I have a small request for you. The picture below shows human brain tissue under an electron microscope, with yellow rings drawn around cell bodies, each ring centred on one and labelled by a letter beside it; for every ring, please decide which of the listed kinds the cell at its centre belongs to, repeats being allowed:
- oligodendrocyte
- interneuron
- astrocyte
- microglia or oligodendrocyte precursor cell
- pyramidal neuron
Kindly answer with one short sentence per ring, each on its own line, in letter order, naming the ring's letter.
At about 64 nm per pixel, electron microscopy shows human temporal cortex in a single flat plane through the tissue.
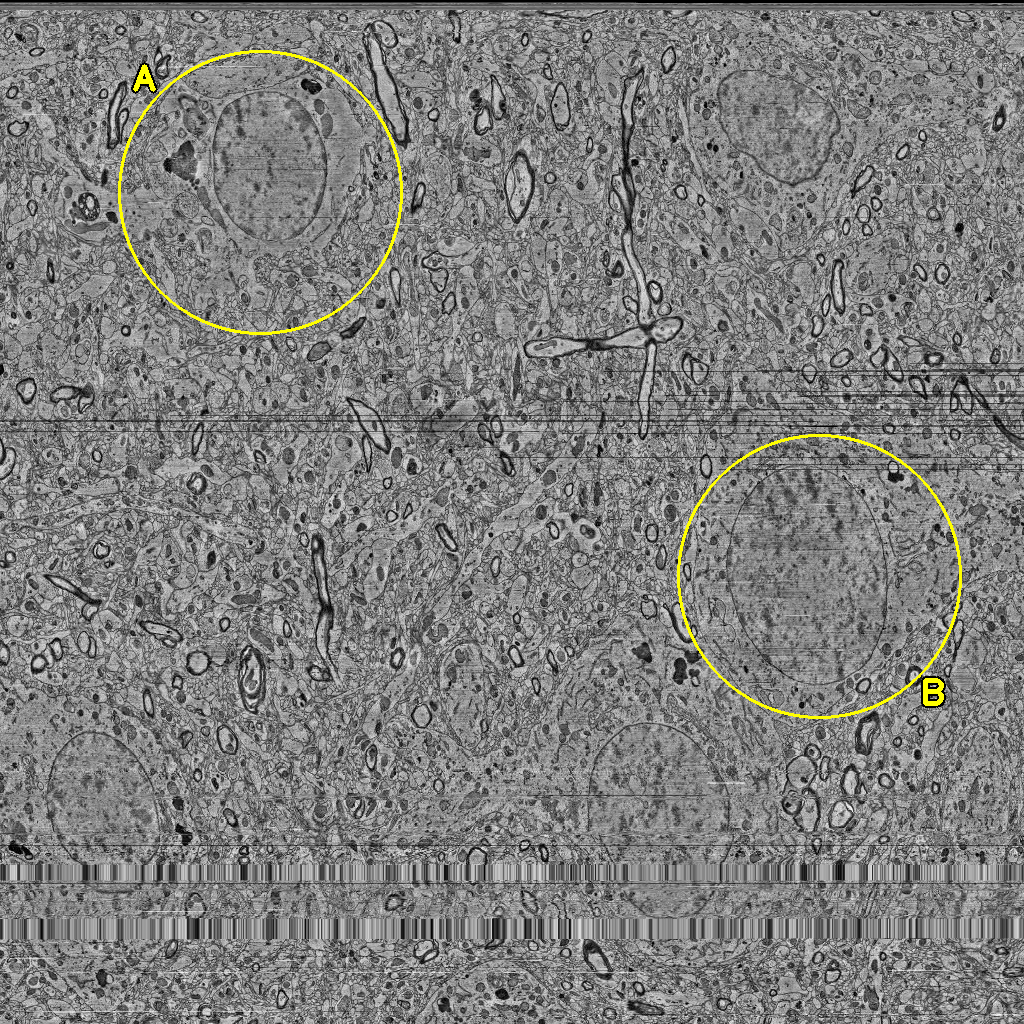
Ring A shows an astrocyte at its centre.
Ring B shows a pyramidal neuron at its centre.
